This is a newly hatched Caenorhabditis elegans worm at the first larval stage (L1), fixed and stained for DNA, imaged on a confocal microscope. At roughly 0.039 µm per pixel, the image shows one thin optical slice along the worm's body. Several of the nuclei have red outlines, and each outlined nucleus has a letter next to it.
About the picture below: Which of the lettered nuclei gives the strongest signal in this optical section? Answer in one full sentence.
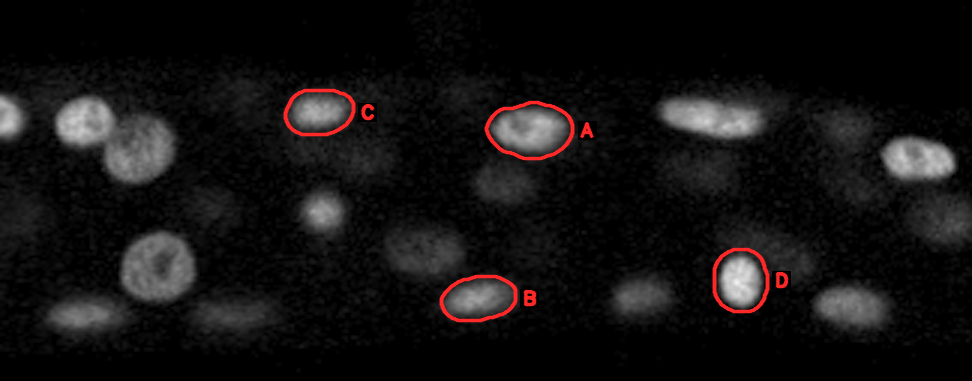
D is stained most strongly in this section.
